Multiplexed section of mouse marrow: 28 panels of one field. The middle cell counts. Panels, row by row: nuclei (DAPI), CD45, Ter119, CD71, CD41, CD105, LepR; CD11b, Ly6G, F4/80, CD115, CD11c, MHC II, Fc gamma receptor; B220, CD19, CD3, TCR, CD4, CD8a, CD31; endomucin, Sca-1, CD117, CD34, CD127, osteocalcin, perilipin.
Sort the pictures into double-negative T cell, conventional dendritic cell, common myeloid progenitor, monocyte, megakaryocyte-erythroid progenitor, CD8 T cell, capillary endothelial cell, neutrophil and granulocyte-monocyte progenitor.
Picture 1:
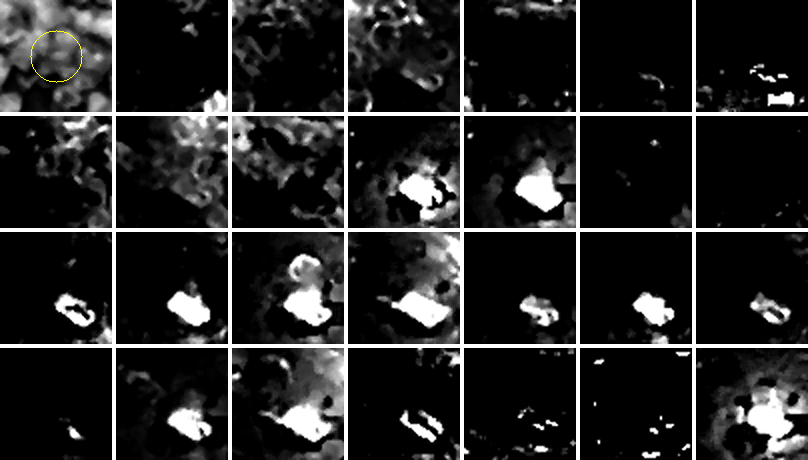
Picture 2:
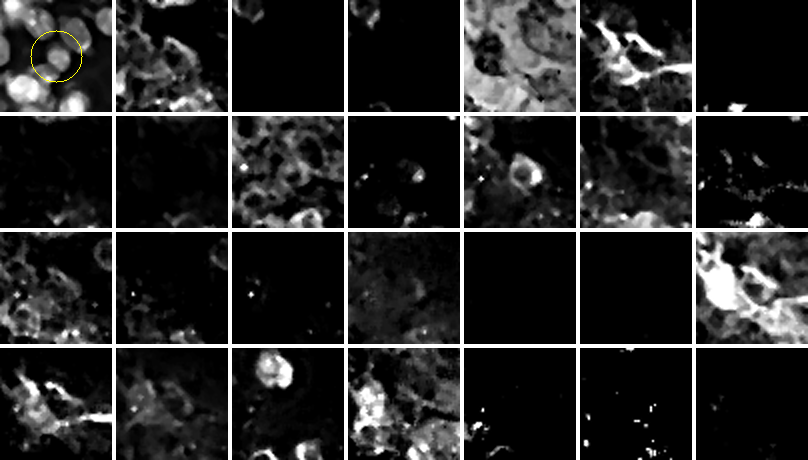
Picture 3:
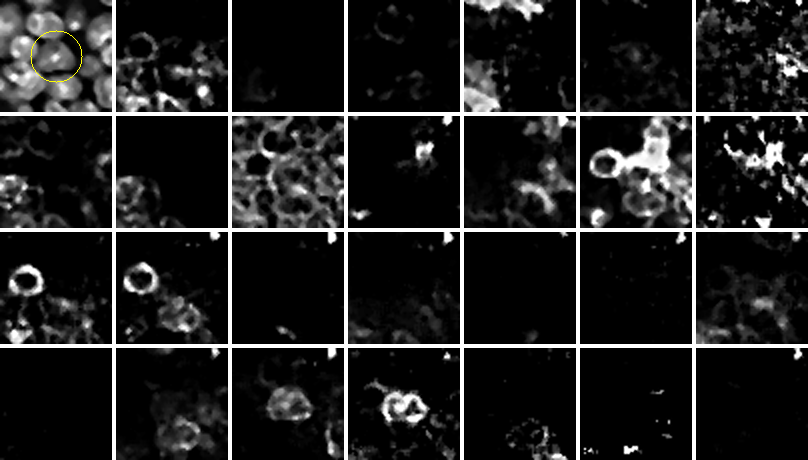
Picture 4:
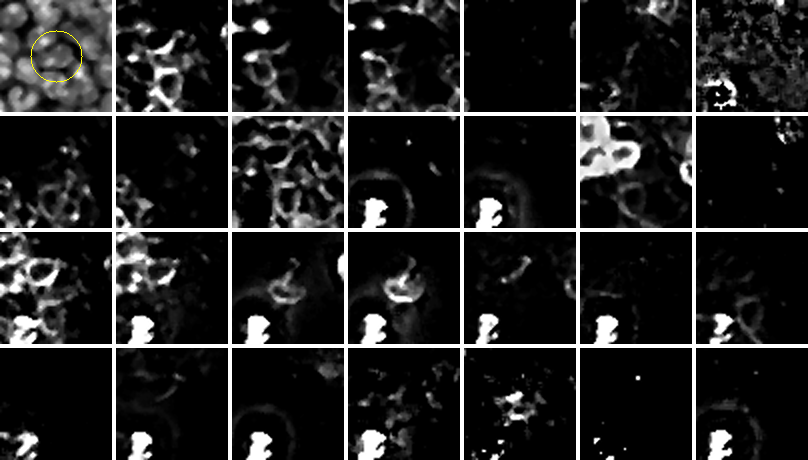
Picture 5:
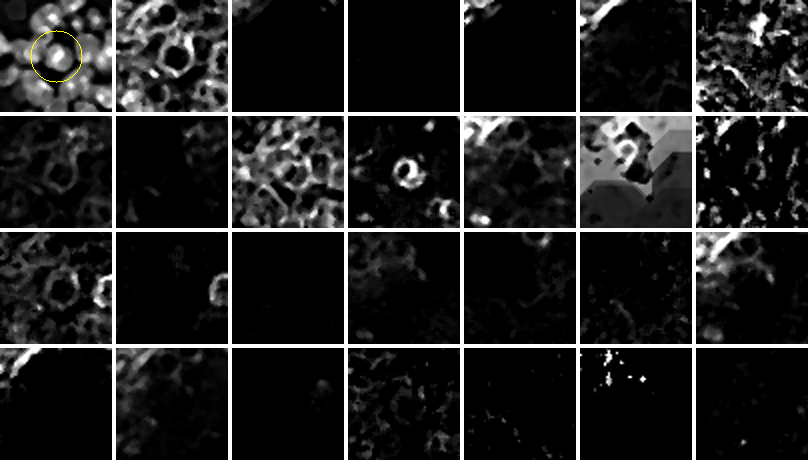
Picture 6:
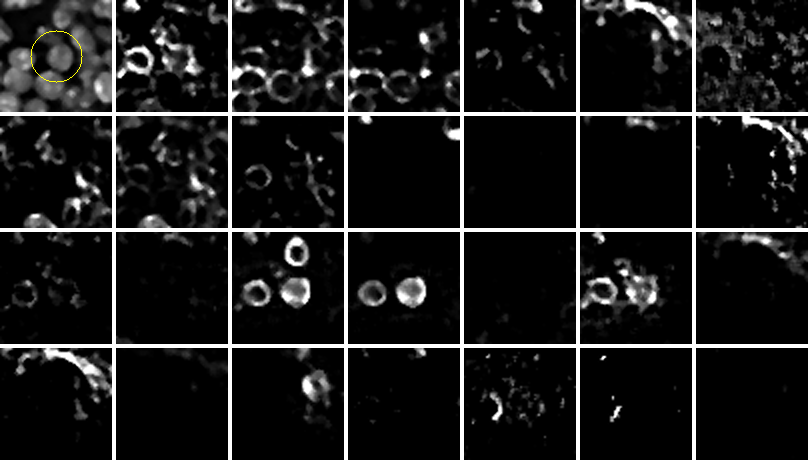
Double-negative T cells: 1, 4
Capillary endothelial cells: 2
Granulocyte-monocyte progenitors: 3
Monocytes: 5
CD8 T cells: 6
